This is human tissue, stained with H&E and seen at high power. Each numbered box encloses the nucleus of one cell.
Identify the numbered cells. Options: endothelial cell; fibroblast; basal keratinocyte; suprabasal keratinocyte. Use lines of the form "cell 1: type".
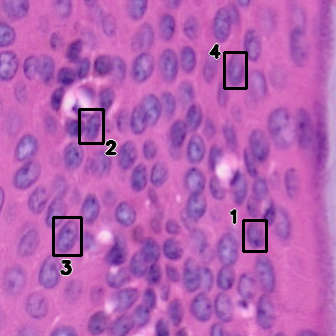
cell 1: suprabasal keratinocyte
cell 2: basal keratinocyte
cell 3: suprabasal keratinocyte
cell 4: suprabasal keratinocyte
